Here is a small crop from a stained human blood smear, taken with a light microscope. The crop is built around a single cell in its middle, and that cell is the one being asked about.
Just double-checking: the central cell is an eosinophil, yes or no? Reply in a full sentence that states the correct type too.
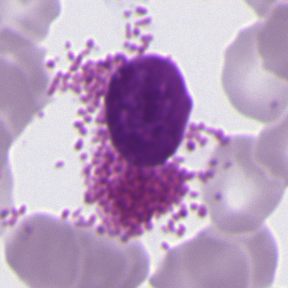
Yes, the cell centred in the field of view is an eosinophil.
